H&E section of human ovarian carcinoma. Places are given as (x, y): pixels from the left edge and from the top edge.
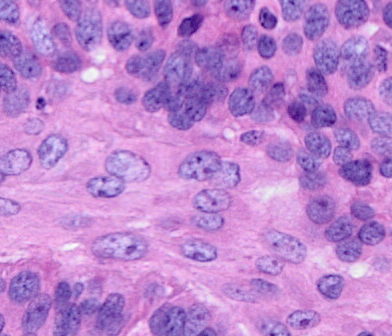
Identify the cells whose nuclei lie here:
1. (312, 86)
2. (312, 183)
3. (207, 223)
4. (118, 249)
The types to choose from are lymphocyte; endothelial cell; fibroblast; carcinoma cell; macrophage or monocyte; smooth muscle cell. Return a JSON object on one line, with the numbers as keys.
{"1": "carcinoma cell", "2": "carcinoma cell", "3": "fibroblast", "4": "fibroblast"}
